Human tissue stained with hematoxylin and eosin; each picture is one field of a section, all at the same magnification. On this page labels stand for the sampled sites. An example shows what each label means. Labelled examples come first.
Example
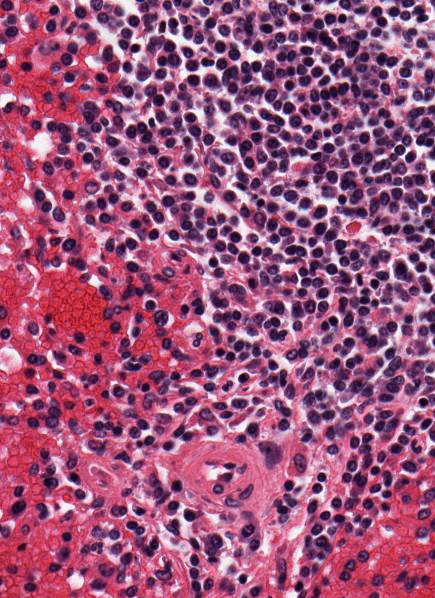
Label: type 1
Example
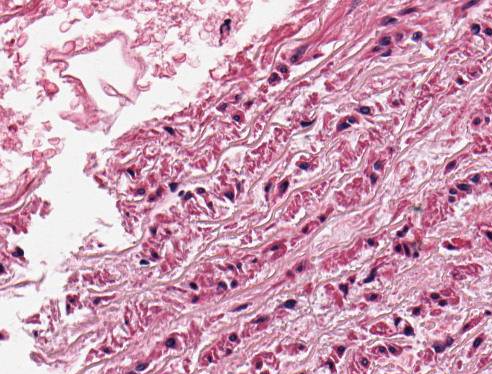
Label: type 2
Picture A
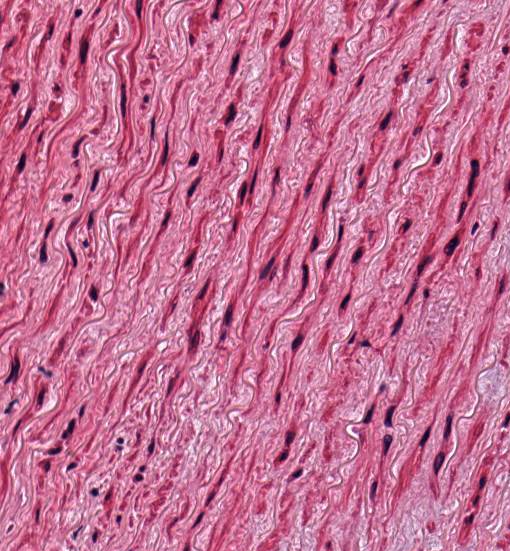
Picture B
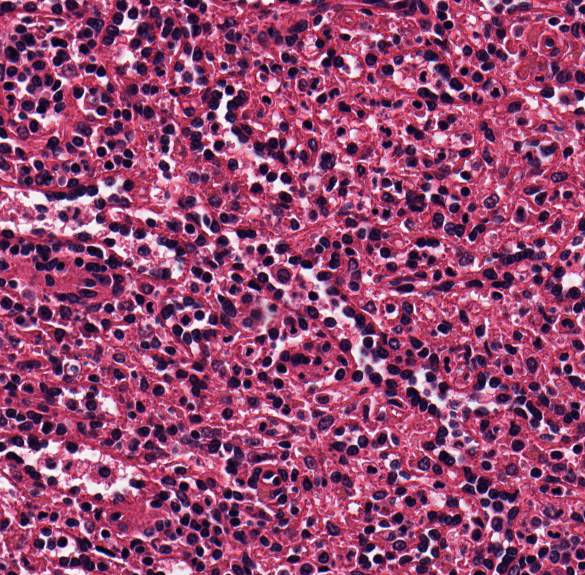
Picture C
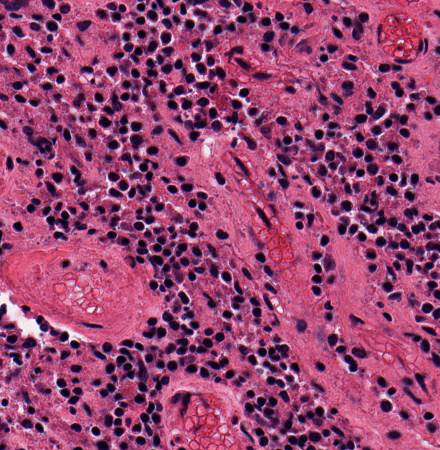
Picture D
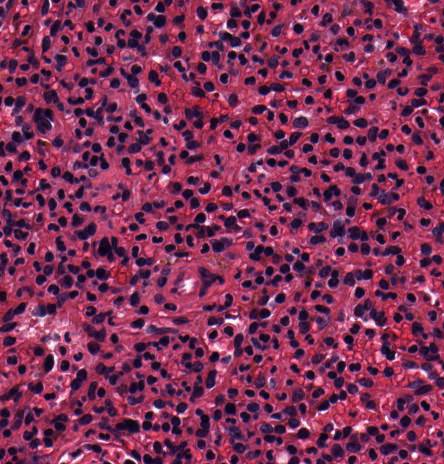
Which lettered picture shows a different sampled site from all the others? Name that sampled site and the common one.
A (type 2) is the exception; every other picture is type 1.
